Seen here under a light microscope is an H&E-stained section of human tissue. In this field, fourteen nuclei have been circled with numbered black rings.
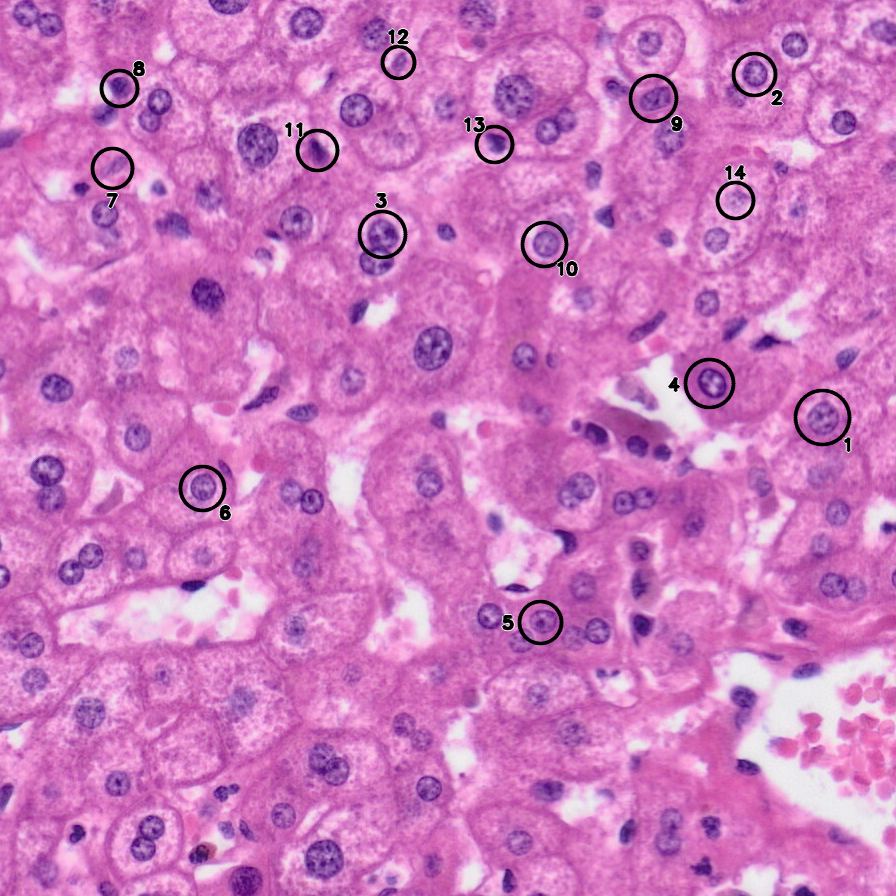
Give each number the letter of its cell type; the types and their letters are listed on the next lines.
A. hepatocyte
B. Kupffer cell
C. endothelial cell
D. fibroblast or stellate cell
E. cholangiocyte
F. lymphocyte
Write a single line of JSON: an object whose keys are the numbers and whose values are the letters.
{"1": "A", "2": "A", "3": "A", "4": "A", "5": "A", "6": "A", "7": "B", "8": "D", "9": "B", "10": "A", "11": "C", "12": "B", "13": "C", "14": "A"}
